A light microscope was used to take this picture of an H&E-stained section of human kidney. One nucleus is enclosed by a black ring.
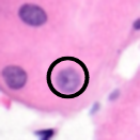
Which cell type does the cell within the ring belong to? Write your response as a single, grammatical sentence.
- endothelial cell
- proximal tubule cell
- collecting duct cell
In the tissue at hand, the cell within the ring is a proximal tubule cell.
